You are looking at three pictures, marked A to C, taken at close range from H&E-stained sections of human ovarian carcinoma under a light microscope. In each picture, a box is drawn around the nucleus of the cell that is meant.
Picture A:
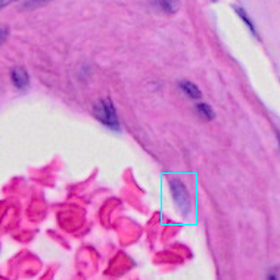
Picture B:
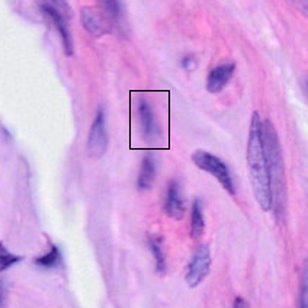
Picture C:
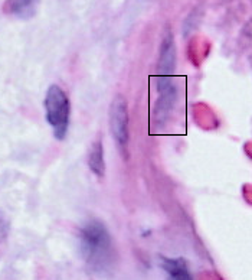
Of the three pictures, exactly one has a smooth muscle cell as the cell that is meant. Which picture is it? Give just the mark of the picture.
B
